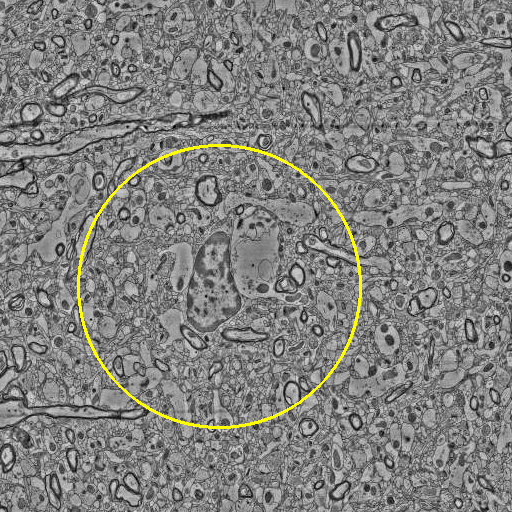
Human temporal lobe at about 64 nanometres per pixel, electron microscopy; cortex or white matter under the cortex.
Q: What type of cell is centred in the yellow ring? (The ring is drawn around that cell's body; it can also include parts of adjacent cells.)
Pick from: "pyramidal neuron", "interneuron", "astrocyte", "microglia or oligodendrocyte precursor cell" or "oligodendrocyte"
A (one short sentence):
The yellow ring is centred on a microglial cell or oligodendrocyte precursor cell.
